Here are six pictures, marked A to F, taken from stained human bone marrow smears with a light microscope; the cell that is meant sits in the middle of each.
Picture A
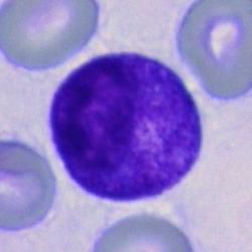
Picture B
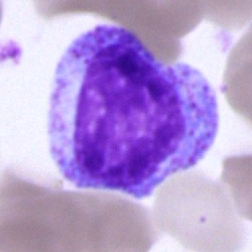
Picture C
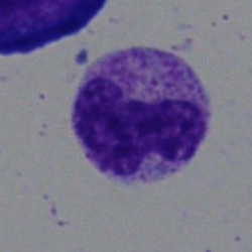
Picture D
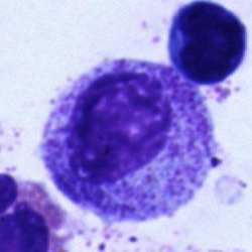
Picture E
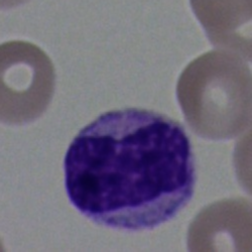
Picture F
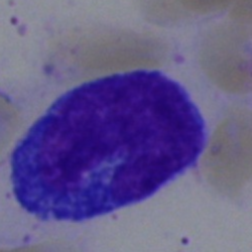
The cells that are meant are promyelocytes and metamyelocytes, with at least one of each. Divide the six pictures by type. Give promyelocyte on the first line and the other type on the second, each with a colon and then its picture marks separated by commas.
promyelocyte: A, B, D, F
metamyelocyte: C, E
